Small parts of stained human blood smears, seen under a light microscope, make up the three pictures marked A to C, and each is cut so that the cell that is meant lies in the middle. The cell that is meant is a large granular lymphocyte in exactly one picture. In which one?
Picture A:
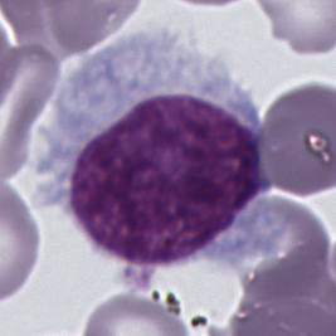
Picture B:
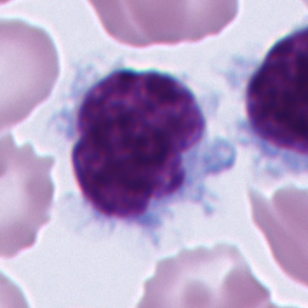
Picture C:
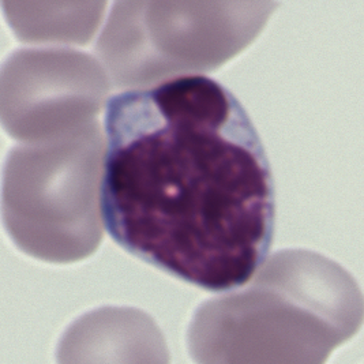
C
